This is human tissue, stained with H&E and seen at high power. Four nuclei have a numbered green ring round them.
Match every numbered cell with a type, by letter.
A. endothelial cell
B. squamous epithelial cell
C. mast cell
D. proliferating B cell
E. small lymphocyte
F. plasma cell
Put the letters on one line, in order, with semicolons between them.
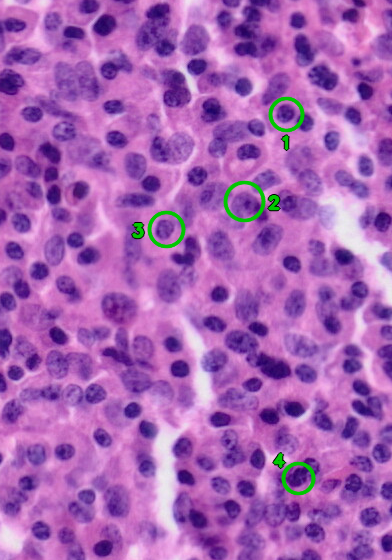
F; B; F; F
